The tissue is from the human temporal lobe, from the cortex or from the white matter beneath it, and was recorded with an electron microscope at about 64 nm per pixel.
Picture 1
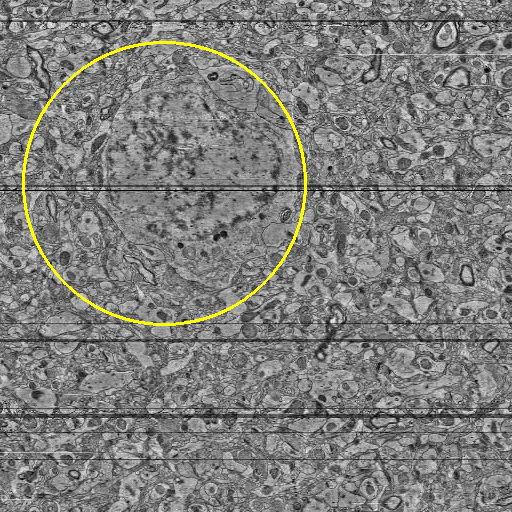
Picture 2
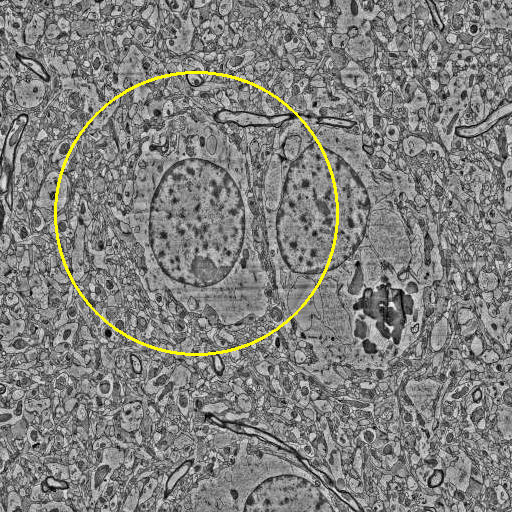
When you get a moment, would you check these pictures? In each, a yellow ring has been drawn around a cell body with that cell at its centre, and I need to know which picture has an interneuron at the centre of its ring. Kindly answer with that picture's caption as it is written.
Picture 1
